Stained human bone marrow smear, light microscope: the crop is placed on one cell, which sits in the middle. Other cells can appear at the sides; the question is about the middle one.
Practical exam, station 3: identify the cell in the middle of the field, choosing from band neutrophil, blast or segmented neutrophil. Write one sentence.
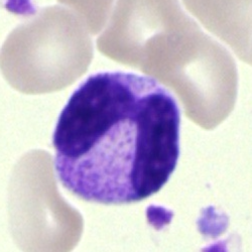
This crop has a band neutrophil at its centre.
